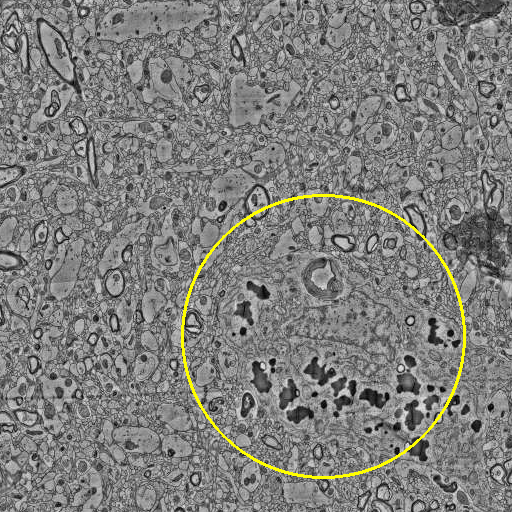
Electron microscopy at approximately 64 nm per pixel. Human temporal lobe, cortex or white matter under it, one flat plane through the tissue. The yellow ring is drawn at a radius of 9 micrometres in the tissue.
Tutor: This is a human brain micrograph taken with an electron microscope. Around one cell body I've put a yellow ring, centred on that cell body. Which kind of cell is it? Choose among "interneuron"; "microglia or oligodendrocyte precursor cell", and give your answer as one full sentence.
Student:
Going by your list, the cell centred in the yellow ring is an interneuron.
